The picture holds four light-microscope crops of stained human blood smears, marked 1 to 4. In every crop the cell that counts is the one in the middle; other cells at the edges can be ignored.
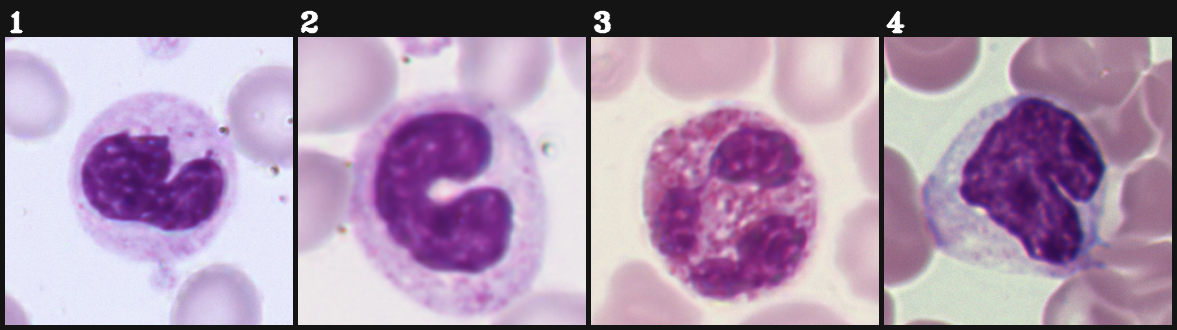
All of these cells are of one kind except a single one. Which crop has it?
3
